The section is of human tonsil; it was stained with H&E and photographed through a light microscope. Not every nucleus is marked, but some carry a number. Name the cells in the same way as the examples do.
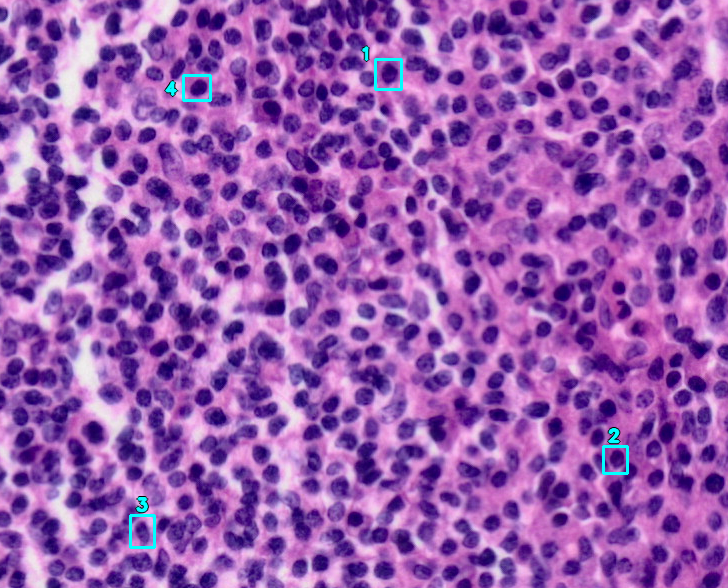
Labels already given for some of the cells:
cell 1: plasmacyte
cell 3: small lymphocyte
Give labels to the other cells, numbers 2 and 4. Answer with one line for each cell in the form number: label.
2: plasmacyte
4: plasmacyte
